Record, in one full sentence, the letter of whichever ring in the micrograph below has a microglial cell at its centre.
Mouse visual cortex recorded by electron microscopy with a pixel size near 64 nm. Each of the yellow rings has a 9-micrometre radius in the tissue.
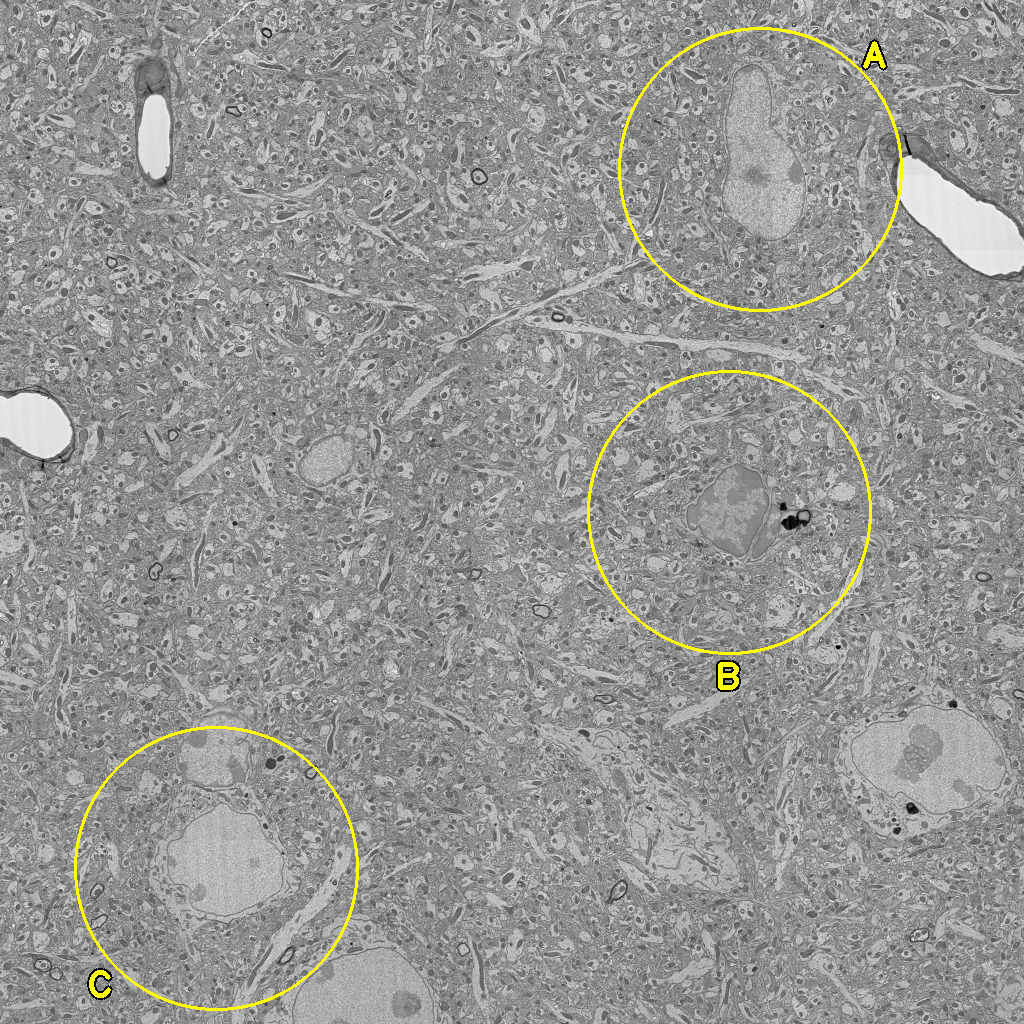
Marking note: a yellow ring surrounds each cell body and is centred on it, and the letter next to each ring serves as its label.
For the cell asked for, the ring centred on it carries the letter B.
